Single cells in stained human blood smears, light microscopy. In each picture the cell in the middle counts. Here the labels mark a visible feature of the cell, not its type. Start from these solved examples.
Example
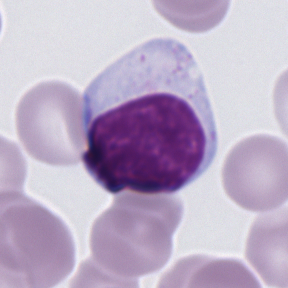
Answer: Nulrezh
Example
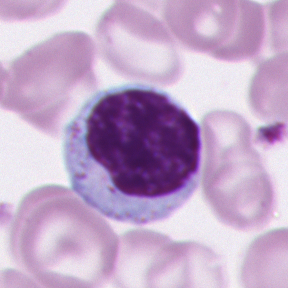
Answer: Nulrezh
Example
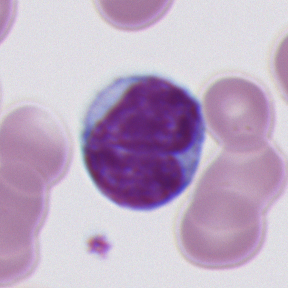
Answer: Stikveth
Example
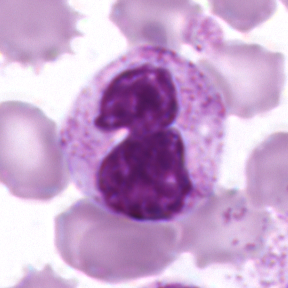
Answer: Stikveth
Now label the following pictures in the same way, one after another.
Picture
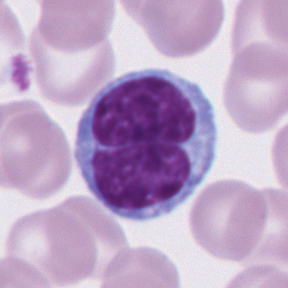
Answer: Stikveth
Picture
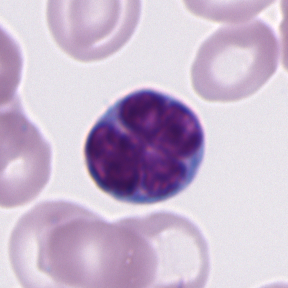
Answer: Stikveth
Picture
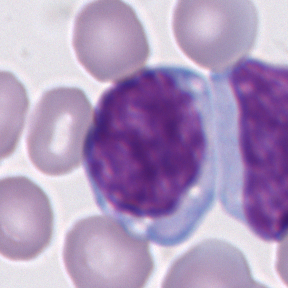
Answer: Nulrezh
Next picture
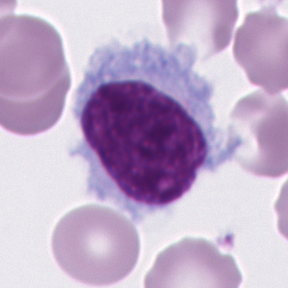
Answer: Nulrezh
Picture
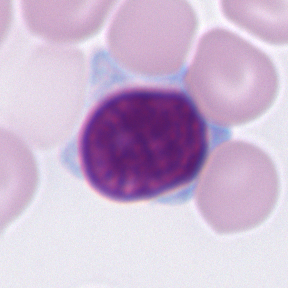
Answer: Nulrezh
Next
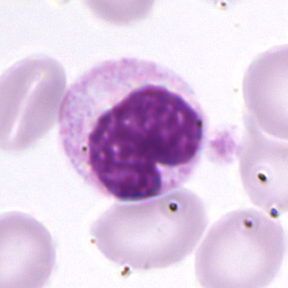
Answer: Nulrezh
